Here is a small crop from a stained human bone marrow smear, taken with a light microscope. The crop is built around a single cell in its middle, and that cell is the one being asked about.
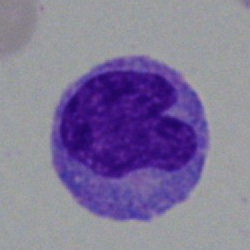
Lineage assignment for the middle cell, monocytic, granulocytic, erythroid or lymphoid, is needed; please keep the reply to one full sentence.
The lineage to which the central cell belongs is the monocytic lineage.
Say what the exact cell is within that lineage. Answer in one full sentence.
Occupying the centre of the crop is a monocyte.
